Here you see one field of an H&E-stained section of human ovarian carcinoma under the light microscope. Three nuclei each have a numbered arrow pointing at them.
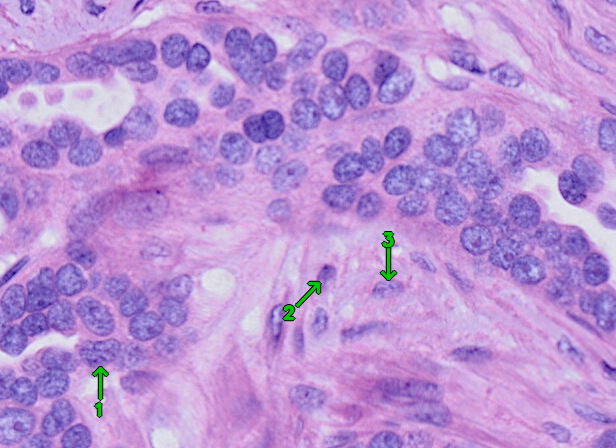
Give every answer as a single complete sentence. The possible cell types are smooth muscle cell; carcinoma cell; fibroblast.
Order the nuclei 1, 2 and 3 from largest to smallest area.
Largest first, the order by area is 1, 3, 2.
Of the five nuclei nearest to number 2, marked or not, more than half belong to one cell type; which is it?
Of the five nuclei nearest to number 2, most belong to fibroblasts.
